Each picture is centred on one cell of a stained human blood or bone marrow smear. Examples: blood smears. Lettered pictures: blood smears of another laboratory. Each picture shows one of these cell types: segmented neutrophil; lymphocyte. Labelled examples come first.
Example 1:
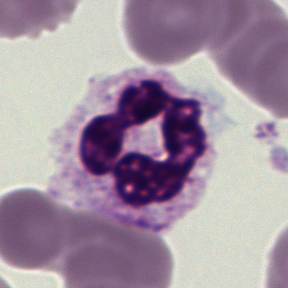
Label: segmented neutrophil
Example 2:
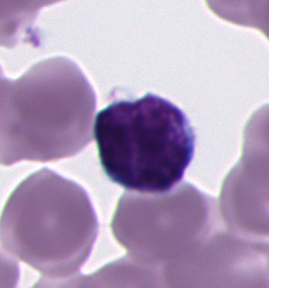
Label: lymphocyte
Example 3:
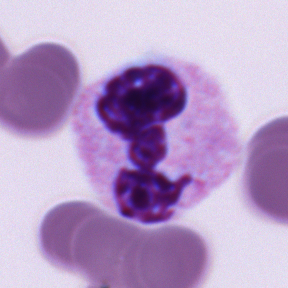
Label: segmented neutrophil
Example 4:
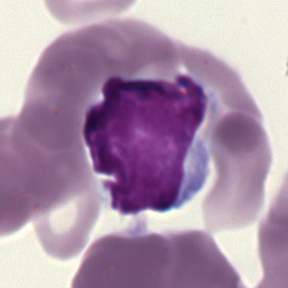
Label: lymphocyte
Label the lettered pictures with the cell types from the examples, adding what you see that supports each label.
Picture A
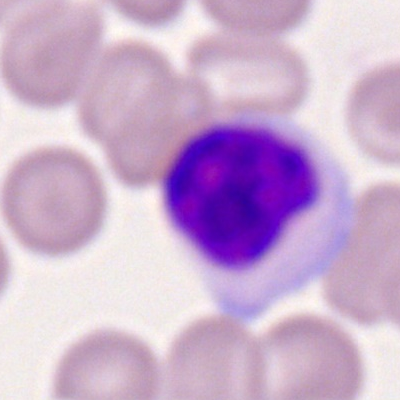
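lymphocyte. Evidence: The nucleus fills most of the cell and lies toward its upper left side.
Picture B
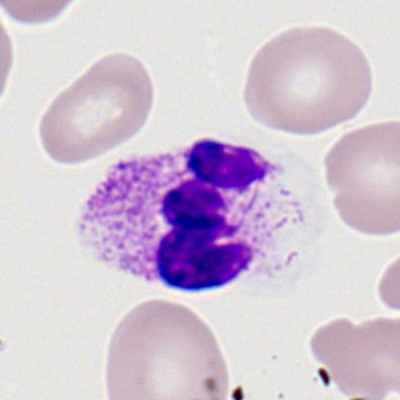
segmented neutrophil. Evidence: The nucleus is split into three separate lobes.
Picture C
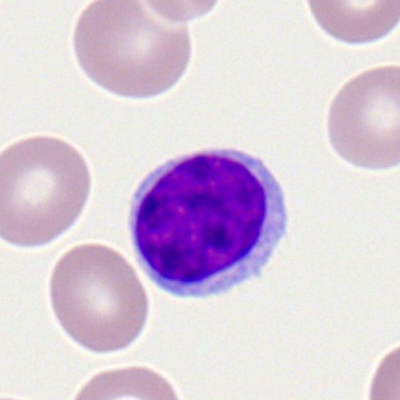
lymphocyte. Evidence: The nucleus fills most of the cell.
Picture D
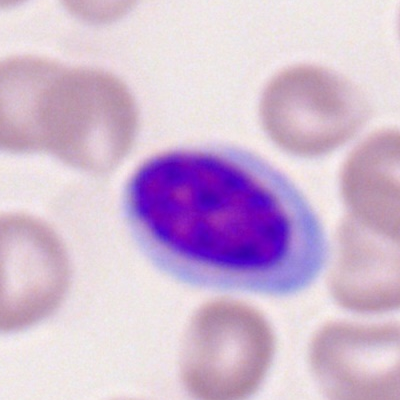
lymphocyte. Evidence: The cytoplasm is scant, forming only a thin rim around the nucleus.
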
